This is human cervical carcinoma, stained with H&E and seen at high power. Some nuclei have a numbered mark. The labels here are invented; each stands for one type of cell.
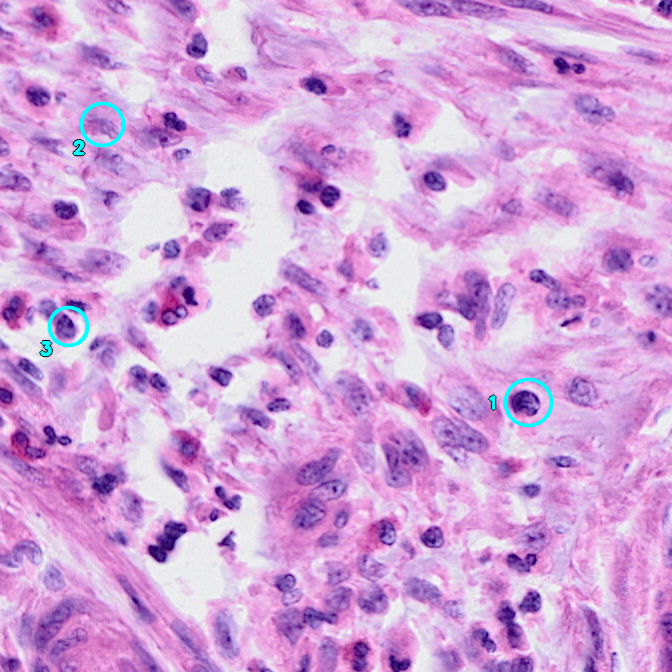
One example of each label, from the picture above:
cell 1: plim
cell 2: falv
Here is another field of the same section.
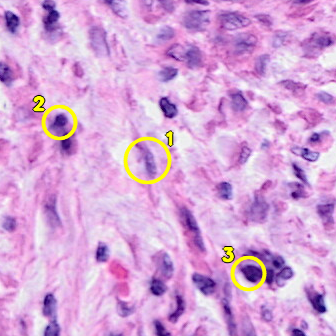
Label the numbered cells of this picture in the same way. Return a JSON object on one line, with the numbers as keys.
{"1": "falv", "2": "plim", "3": "plim"}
